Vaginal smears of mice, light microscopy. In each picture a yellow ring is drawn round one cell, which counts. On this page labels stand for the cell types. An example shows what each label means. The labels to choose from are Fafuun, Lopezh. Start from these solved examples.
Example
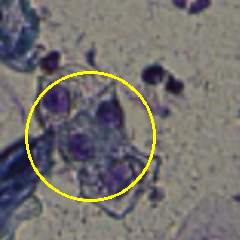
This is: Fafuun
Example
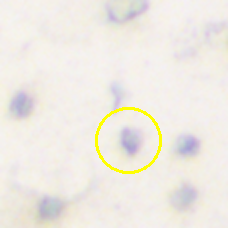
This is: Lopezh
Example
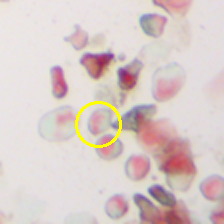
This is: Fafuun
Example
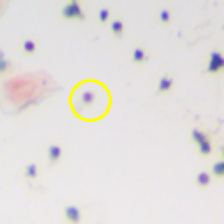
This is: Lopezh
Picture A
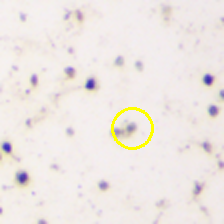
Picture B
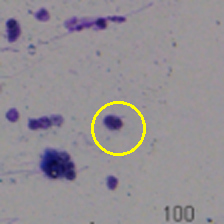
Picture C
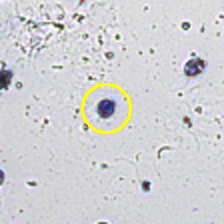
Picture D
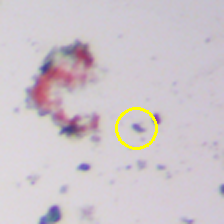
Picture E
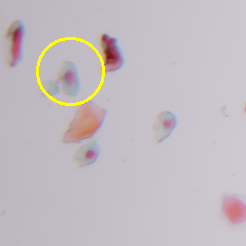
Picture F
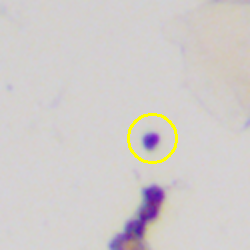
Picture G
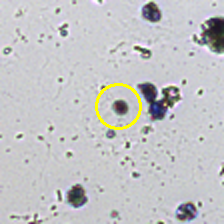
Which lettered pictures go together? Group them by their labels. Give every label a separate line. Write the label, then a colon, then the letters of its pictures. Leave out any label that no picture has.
Fafuun: E
Lopezh: A, B, C, D, F, G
